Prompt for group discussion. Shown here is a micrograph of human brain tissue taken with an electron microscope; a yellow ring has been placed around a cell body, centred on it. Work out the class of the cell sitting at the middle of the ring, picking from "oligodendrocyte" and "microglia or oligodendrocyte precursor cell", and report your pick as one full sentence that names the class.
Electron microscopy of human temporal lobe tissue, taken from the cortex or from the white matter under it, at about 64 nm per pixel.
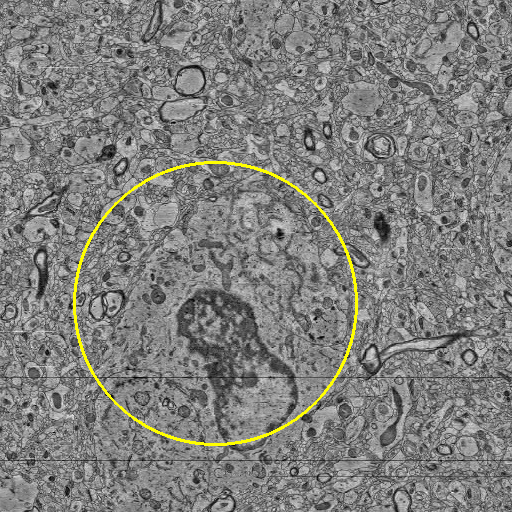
The cell sitting at the middle of the yellow ring is a microglial cell or oligodendrocyte precursor cell.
